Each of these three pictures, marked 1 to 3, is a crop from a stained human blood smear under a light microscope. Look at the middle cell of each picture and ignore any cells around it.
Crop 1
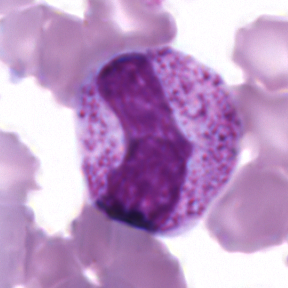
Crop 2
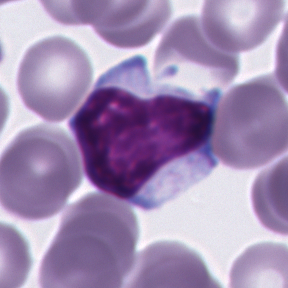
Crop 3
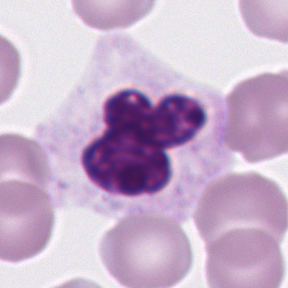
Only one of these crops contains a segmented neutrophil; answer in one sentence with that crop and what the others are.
In the set, crop 3 shows a segmented neutrophil, whereas crop 1 is a band neutrophil and crop 2 is a typical lymphocyte.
